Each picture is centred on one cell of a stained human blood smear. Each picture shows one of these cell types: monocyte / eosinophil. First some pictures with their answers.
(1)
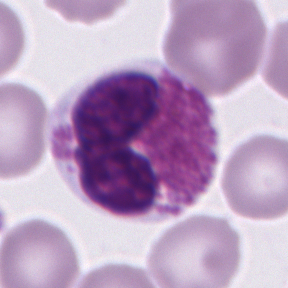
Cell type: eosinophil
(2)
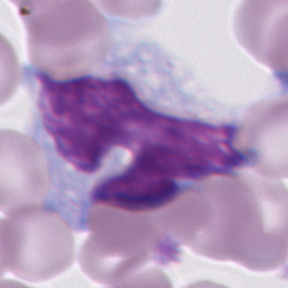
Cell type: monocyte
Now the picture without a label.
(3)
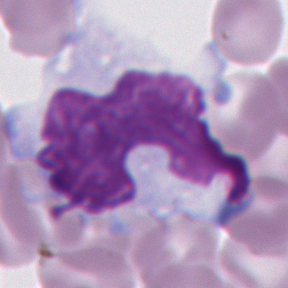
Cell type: monocyte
